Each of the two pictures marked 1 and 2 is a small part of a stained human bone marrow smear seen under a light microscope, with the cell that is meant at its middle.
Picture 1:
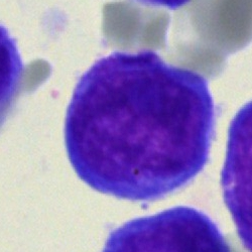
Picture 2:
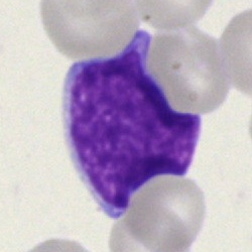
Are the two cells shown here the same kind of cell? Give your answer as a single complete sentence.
Yes, both cells are blasts.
